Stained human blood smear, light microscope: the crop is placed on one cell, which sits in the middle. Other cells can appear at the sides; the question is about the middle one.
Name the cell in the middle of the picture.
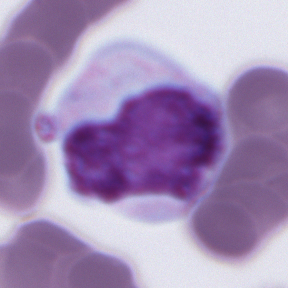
metamyelocyte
